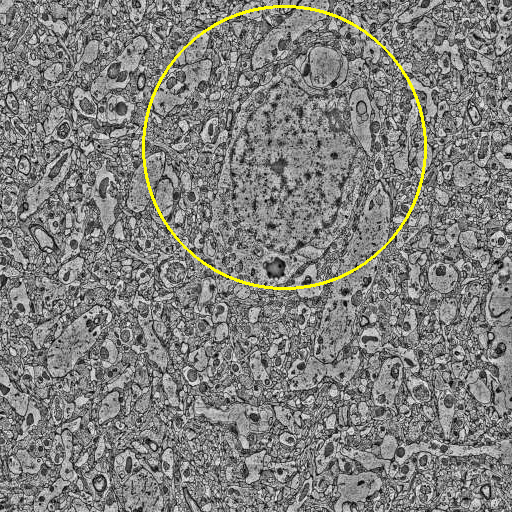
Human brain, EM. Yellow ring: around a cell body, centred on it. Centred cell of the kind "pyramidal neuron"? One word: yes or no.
no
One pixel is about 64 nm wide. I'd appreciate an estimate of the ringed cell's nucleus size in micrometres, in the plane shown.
Roughly 11 by 8 micrometres is the size of the nucleus in this plane.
